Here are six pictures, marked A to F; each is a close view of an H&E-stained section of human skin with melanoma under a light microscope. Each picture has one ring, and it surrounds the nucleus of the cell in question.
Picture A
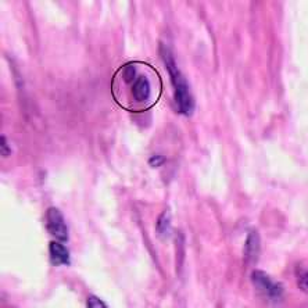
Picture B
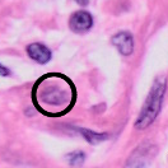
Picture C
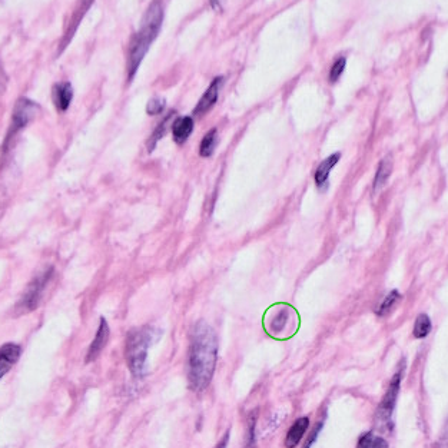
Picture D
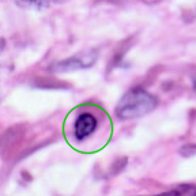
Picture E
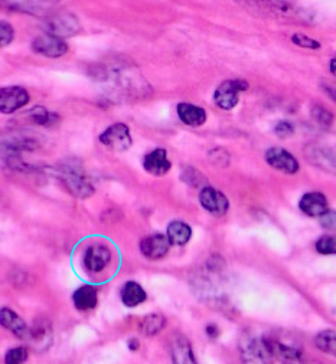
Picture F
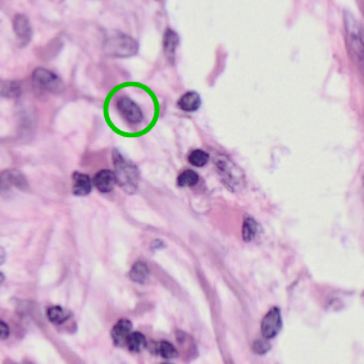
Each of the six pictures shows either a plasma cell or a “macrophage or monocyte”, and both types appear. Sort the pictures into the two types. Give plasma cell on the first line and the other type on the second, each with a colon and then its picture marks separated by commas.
plasma cell: A, D, E, F
macrophage or monocyte: B, C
